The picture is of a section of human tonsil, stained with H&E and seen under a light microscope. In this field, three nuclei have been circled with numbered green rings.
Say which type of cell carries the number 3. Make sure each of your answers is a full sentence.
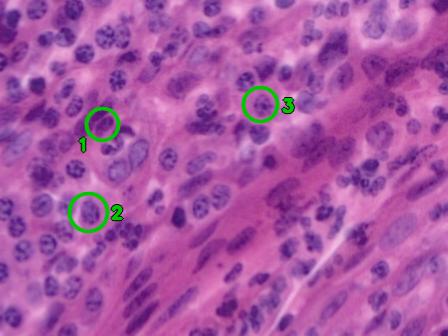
The one labeled 3 is a plasma cell, to put it simply.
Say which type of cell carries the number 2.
The cell indicated with the number 2 is classed as a plasma cell.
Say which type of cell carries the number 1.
The cell indicated by marker 1 is a squamous epithelial cell in this section.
